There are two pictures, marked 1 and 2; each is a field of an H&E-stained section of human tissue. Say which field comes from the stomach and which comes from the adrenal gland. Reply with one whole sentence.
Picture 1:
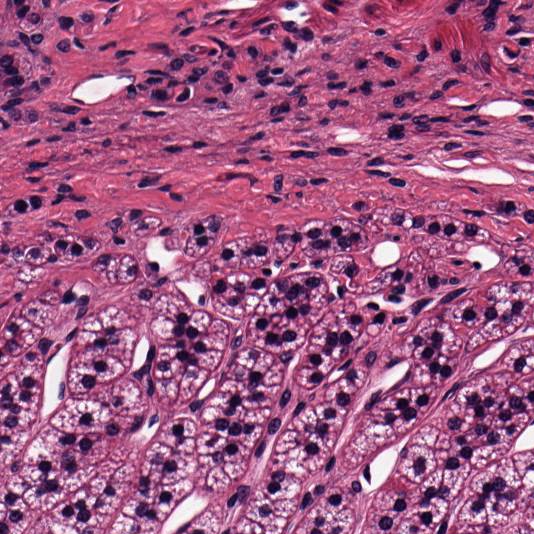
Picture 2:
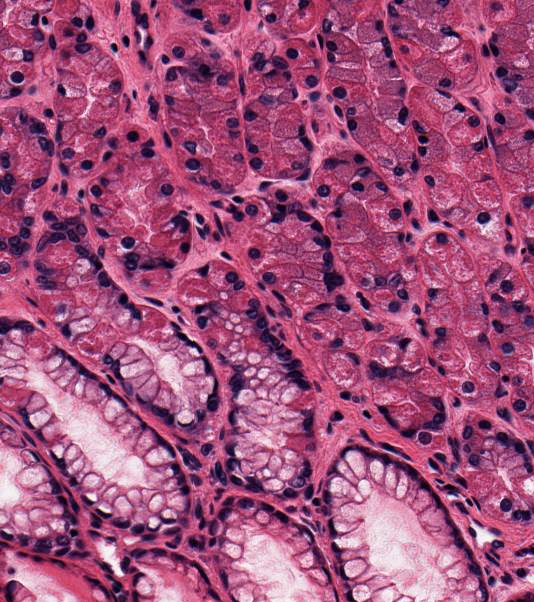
Picture 1 comes from the adrenal gland; picture 2 comes from the stomach.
